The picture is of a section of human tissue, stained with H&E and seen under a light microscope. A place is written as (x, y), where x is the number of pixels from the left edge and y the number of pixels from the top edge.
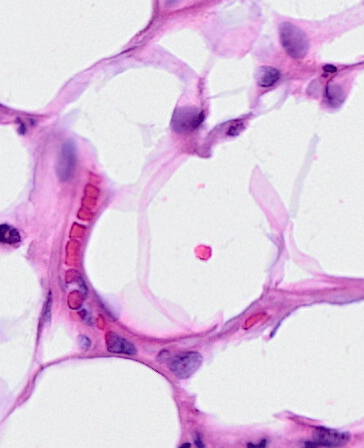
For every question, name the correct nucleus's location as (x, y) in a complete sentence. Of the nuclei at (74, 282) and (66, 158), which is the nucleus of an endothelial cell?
The one belonging to an endothelial cell is the nucleus at (74, 282), not the other.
